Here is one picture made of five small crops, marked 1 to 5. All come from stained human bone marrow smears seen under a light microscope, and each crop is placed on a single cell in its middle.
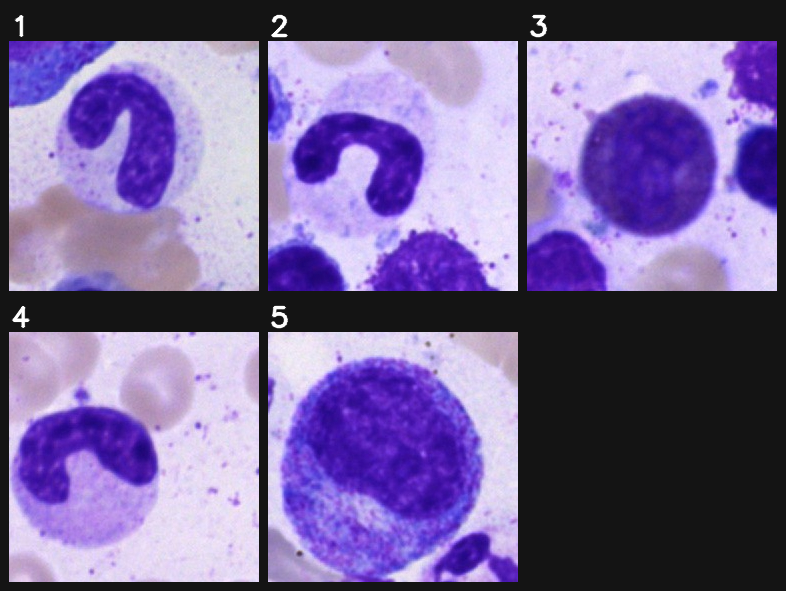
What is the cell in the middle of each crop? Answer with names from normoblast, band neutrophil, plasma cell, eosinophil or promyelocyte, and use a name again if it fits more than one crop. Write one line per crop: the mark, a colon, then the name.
1: band neutrophil
2: band neutrophil
3: eosinophil
4: band neutrophil
5: promyelocyte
